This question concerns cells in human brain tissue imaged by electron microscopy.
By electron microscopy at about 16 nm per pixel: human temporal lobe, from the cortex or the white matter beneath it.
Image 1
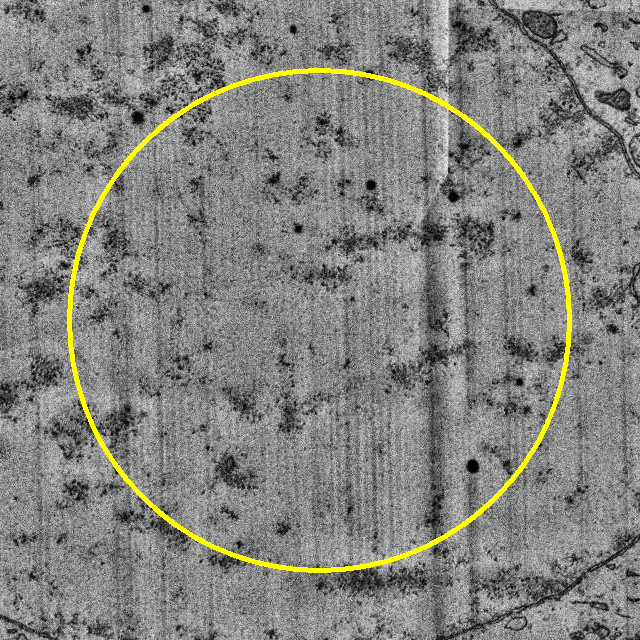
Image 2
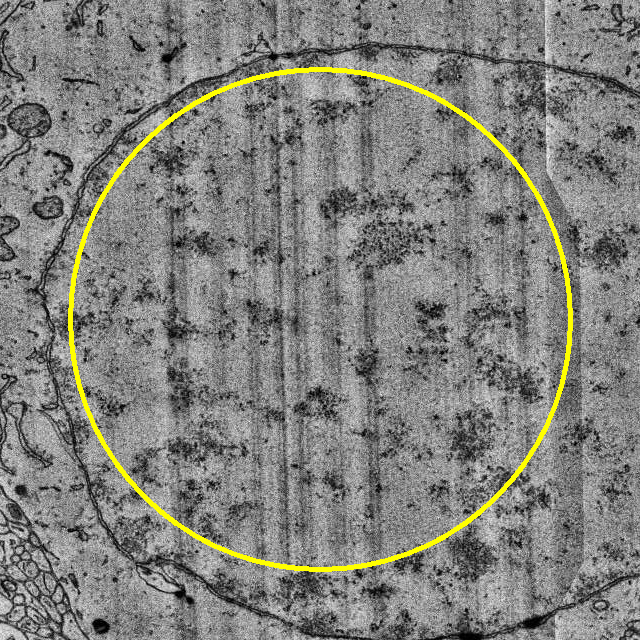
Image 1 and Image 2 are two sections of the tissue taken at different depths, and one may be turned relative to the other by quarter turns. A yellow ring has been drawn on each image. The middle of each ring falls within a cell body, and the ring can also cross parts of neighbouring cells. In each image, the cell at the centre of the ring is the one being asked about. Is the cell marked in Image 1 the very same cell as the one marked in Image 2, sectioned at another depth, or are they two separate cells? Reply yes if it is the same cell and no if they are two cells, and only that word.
yes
